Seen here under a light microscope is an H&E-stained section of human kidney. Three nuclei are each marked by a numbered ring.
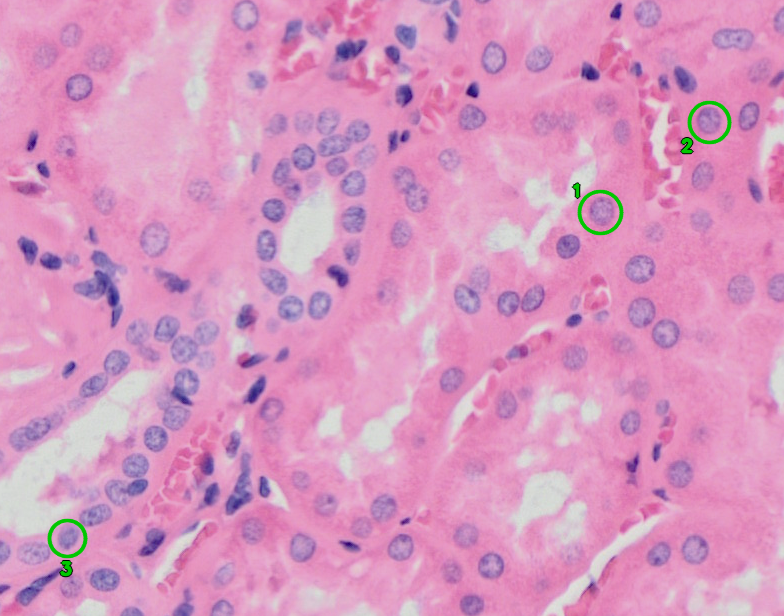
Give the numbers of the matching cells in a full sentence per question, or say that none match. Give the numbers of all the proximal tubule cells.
As for the cells numbered 1 and 2, they are proximal tubule cells.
